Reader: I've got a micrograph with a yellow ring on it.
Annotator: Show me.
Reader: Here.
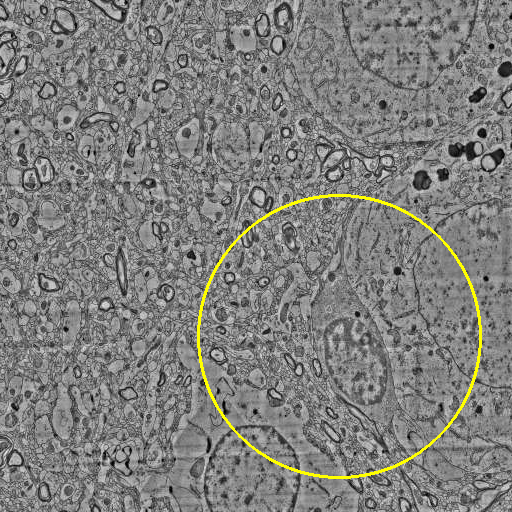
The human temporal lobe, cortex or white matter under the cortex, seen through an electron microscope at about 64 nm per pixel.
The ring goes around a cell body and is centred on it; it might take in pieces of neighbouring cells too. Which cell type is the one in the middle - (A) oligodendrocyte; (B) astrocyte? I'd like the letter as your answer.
A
